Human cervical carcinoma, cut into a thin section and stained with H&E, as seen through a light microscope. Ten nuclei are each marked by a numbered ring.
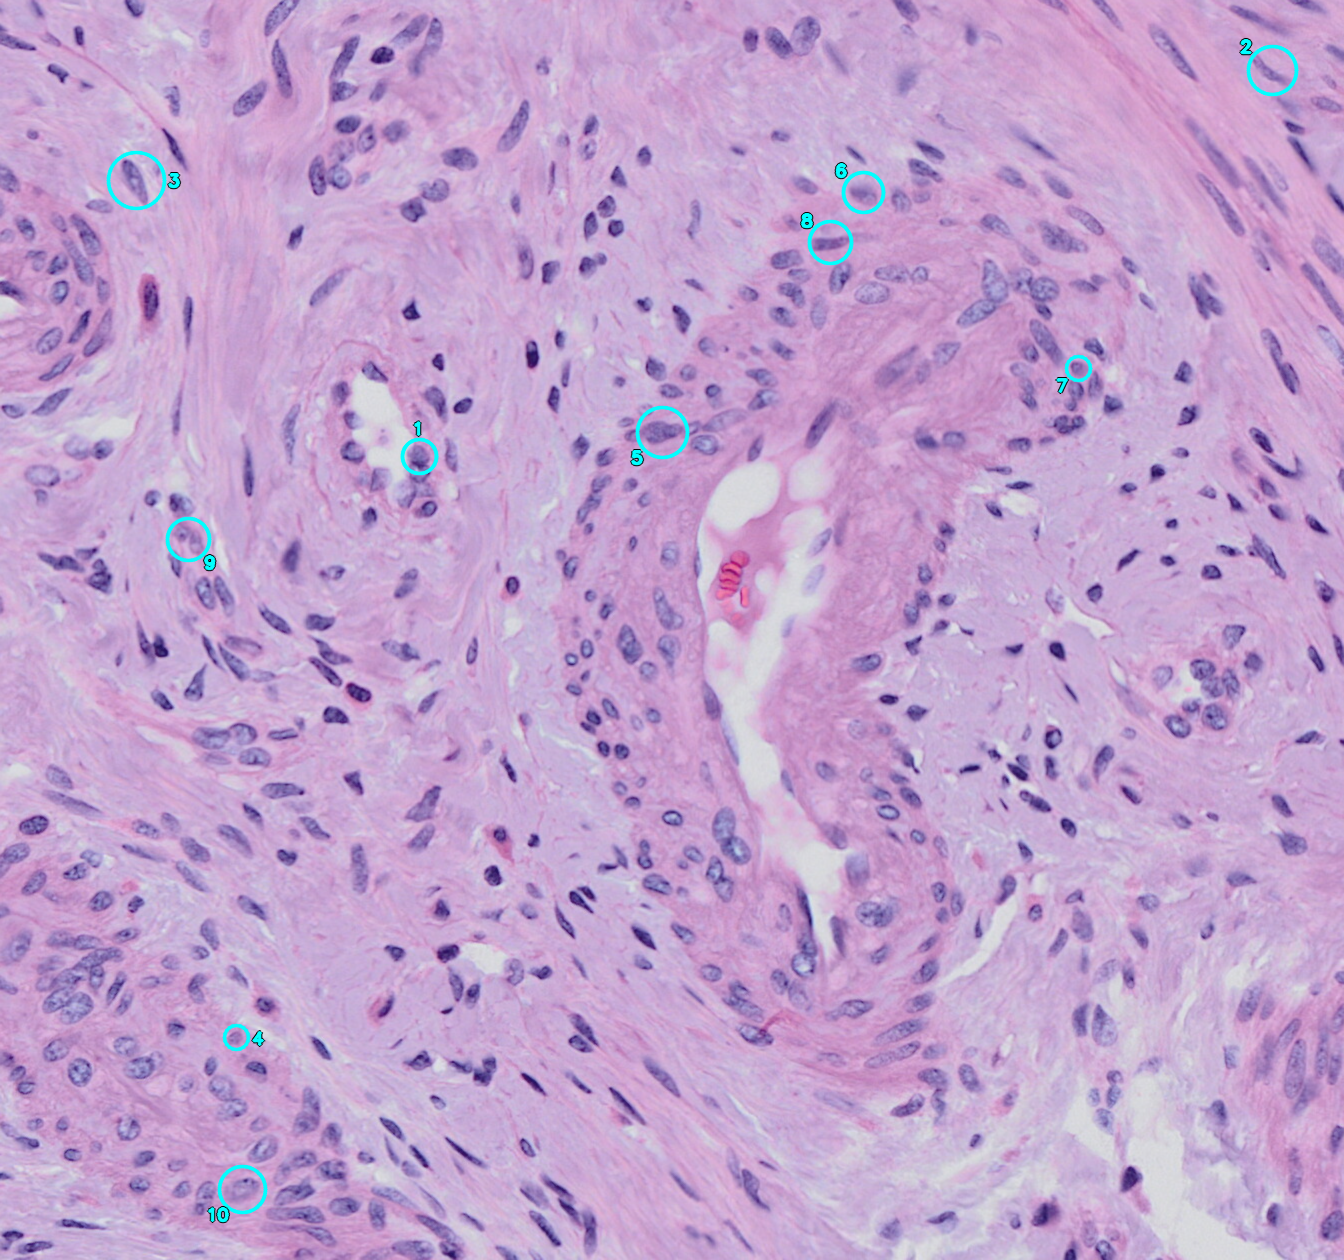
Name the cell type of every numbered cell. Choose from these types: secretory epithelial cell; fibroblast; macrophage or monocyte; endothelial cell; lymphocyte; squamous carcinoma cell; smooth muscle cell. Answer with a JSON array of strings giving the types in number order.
["endothelial cell", "fibroblast", "fibroblast", "smooth muscle cell", "smooth muscle cell", "smooth muscle cell", "smooth muscle cell", "smooth muscle cell", "endothelial cell", "smooth muscle cell"]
